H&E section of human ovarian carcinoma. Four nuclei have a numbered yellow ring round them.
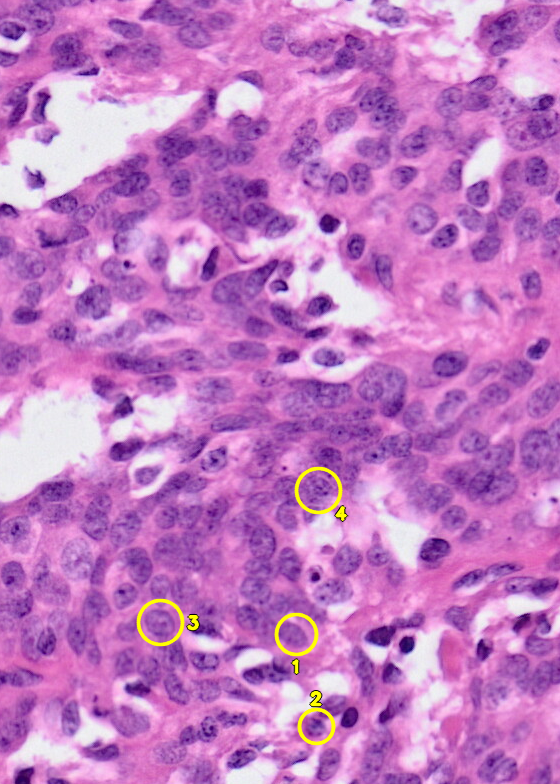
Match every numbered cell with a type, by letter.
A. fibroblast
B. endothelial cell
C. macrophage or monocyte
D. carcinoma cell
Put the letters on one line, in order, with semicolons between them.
D; C; D; D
